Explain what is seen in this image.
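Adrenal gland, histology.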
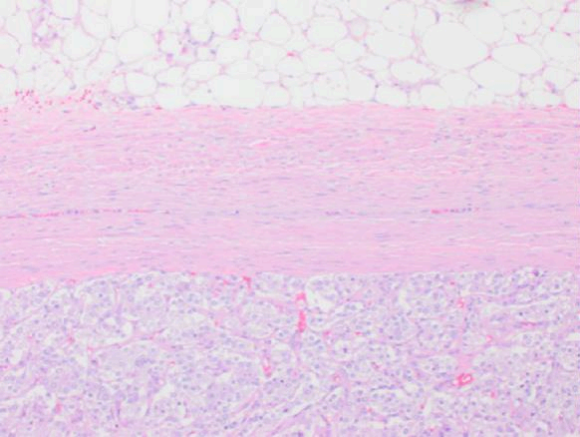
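This low-power view shows three layers stacked from top to bottom. At the top lies fat, made of large empty rounded cells with thin walls. In the middle runs a band of dense pink fibrous tissue, the capsule, with thin elongated nuclei lying parallel to its length. Below the capsule is a cellular tumor arranged in nests separated by fine strands of supporting tissue and small vessels. The border between the tumor and the capsule is sharp and straight.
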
